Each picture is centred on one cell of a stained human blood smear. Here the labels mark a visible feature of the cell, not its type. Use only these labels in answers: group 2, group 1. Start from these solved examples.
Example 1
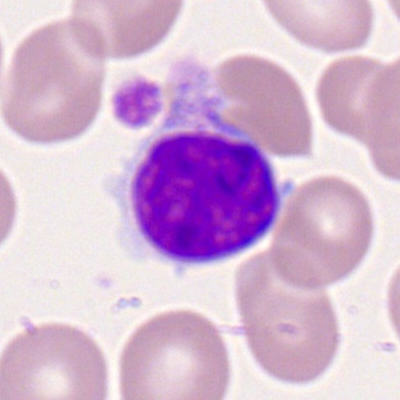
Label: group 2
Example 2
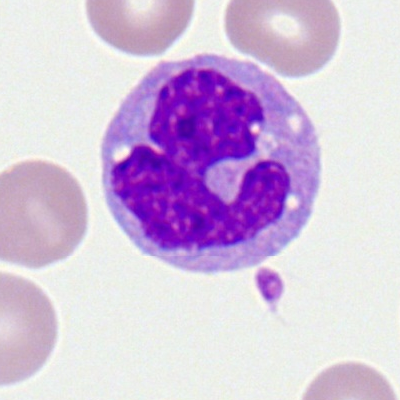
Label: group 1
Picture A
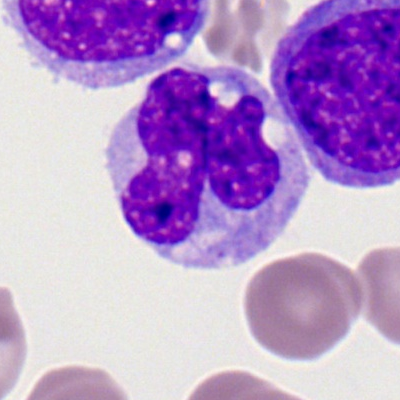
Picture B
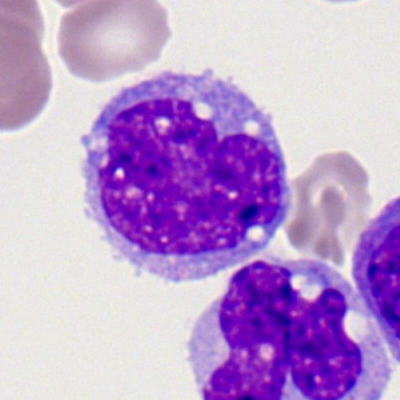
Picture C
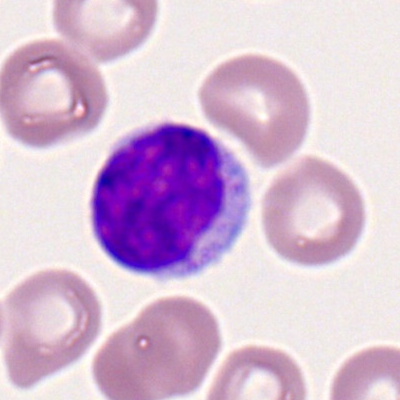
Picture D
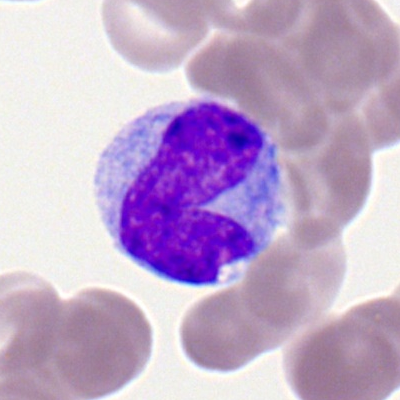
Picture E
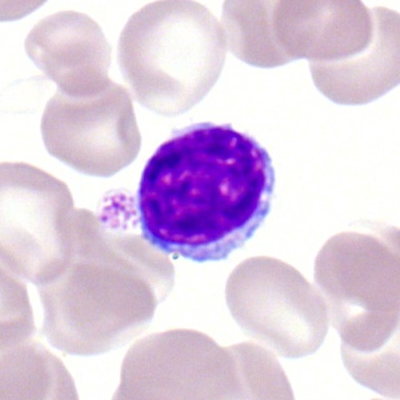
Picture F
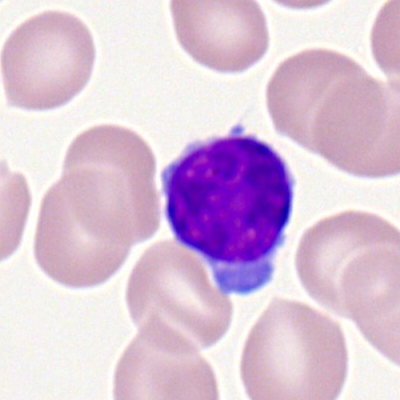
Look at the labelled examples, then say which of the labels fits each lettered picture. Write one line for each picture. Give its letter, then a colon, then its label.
A: group 1
B: group 2
C: group 1
D: group 1
E: group 2
F: group 2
